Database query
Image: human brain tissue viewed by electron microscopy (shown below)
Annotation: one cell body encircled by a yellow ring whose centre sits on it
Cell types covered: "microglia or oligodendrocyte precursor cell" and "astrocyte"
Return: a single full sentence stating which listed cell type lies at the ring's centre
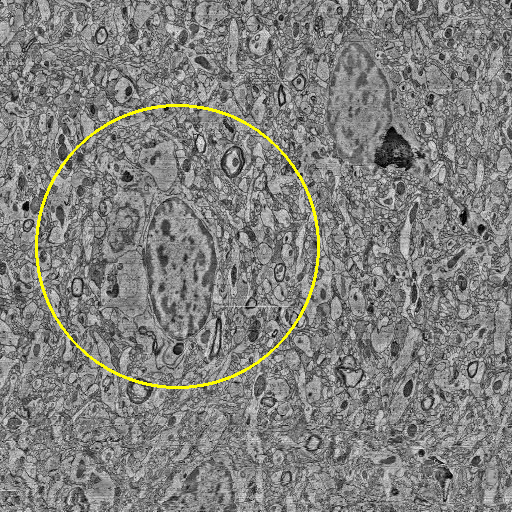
In the image, the cell lying at the ring's centre is a microglial cell or oligodendrocyte precursor cell.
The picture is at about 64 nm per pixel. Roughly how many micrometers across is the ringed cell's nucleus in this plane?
About 9 by 4 micrometres in this plane; clearly longer than it is wide.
